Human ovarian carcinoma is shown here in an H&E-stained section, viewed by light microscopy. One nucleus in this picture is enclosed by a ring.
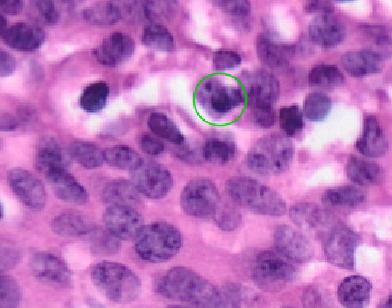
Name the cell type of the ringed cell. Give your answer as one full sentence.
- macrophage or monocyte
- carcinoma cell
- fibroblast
In this field of tissue, the ringed cell is a macrophage or monocyte.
